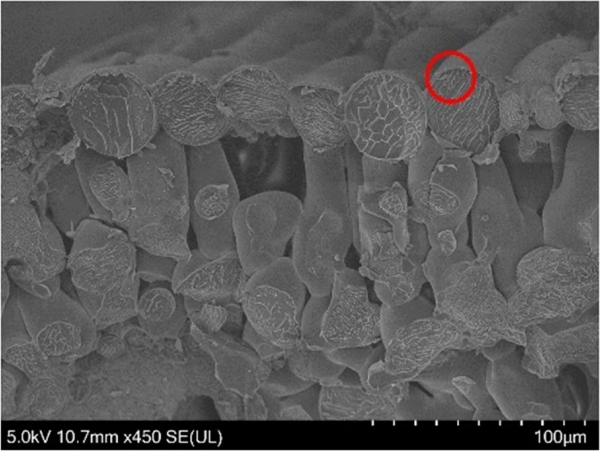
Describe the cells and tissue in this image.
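A cross-section of a leaf shows a top row of rounded epidermal cells lying along the leaf surface, with the inside mesophyll cells packed beneath them. Air spaces open between the mesophyll cells.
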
